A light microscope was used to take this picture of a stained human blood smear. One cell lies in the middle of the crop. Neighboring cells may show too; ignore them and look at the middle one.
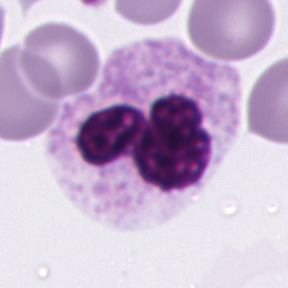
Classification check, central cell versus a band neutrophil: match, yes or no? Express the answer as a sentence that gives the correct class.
No, the central cell is not a band neutrophil; it is a segmented neutrophil instead.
